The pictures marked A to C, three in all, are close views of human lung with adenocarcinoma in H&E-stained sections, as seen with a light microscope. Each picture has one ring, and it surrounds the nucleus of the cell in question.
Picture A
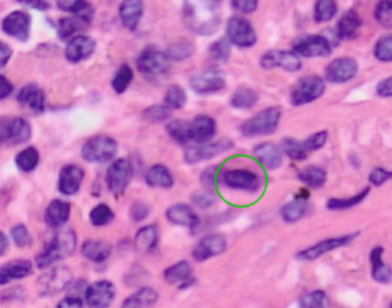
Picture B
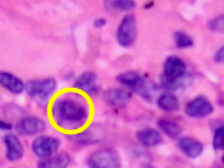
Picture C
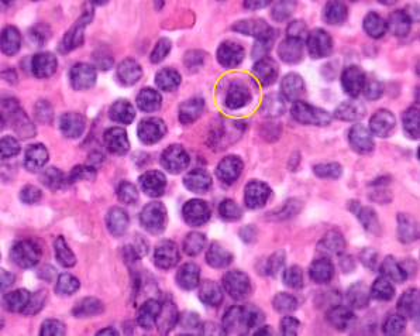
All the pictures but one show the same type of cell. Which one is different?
C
